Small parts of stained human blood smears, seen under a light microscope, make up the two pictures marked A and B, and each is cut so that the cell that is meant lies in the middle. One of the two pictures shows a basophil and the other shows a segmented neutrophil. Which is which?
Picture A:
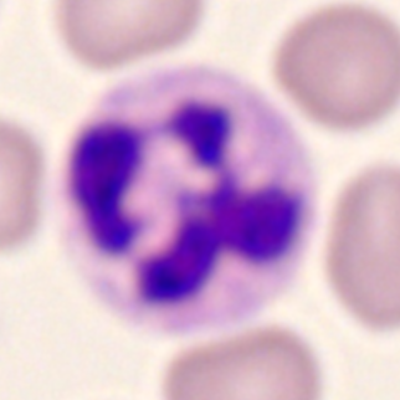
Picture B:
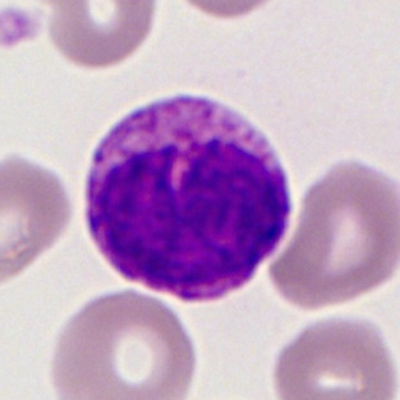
A: segmented neutrophil
B: basophil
